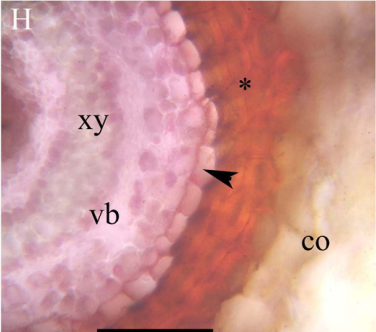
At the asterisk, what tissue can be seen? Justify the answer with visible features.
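Sclerenchyma layer. The asterisk lies in a broad orange-red band of small cells. The band lies between the pale vascular tissue and the pale cortex.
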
